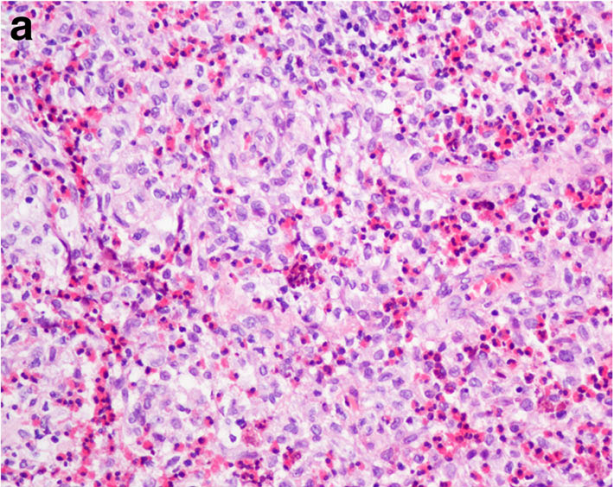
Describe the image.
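Lesion made mostly of histiocytic cells mixed with numerous eosinophils. The histiocytic cells lie in sheets and nests; they are medium to large with ample pale pink cytoplasm and oval or irregular, folded nuclei with fine pale chromatin. Between and around them run dense bands of eosinophils, recognisable by bright red granular cytoplasm and small dark lobed nuclei. A few small round dark lymphoid-looking nuclei are interspersed. Thin pale fibrous strands and small vessels divide the cell sheets. No organised normal tissue architecture is seen.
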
